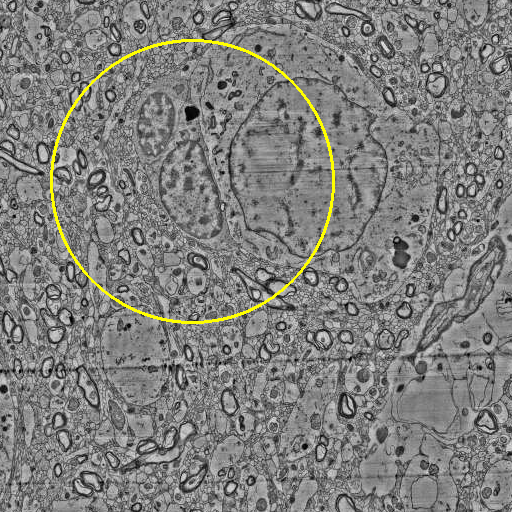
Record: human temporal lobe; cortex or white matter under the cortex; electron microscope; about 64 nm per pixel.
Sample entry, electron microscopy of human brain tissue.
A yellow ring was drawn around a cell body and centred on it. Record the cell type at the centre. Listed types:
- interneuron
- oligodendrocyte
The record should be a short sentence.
The cell at the ring's centre is an oligodendrocyte.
